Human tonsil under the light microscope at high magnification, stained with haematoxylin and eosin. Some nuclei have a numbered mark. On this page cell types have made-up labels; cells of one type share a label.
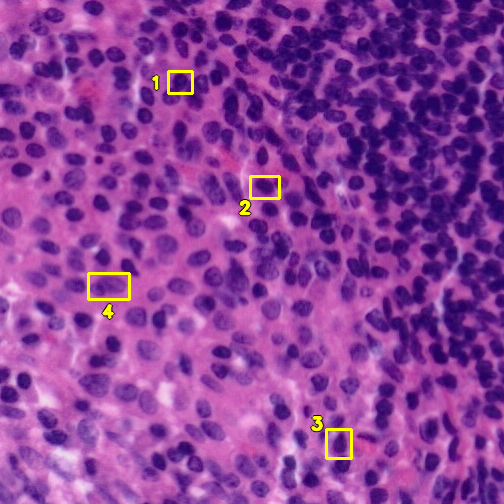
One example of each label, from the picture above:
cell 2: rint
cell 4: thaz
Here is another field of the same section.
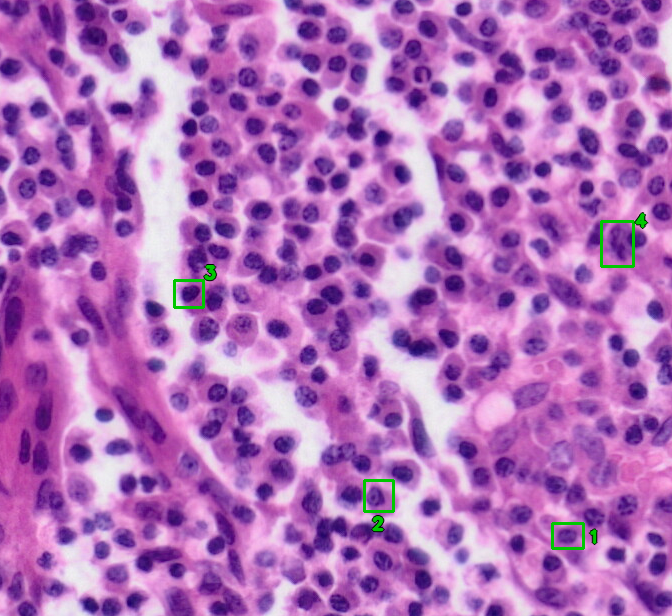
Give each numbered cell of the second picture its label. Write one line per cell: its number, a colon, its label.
1: rint
2: rint
3: rint
4: thaz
